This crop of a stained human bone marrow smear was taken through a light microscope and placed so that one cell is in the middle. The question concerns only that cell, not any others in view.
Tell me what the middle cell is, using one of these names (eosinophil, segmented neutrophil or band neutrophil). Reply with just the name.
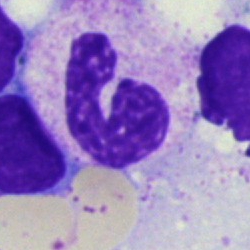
segmented neutrophil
